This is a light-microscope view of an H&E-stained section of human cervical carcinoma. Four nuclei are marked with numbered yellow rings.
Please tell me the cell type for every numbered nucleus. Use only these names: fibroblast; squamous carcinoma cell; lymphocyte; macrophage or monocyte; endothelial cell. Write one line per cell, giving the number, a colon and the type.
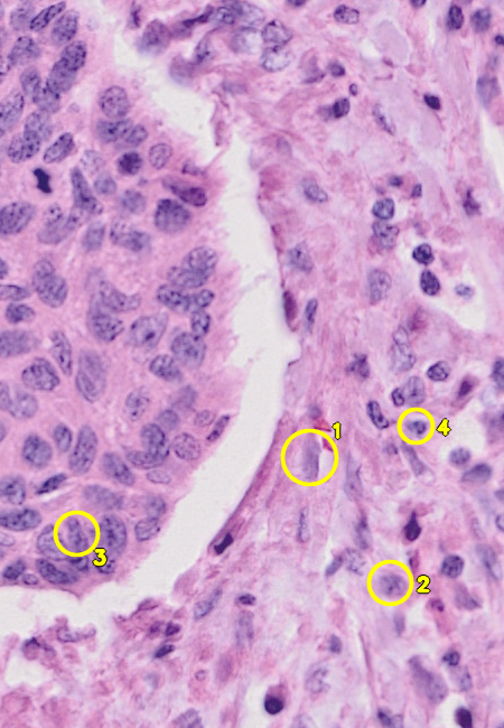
1: endothelial cell
2: macrophage or monocyte
3: squamous carcinoma cell
4: lymphocyte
